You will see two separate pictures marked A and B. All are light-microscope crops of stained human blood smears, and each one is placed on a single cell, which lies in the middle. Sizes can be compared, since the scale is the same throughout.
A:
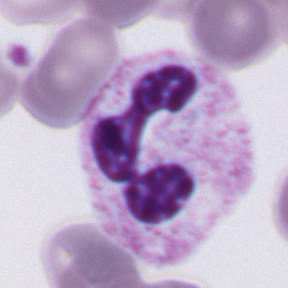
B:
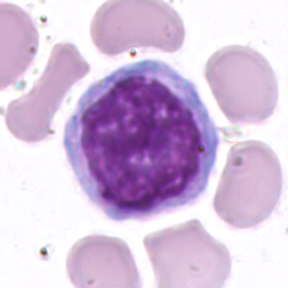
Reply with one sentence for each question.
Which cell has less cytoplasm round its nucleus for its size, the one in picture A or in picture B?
In picture B the nucleus takes up the larger part of its cell.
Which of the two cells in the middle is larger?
Picture A holds the larger cell; it covers about 1.5 times the area of the cell in picture B.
